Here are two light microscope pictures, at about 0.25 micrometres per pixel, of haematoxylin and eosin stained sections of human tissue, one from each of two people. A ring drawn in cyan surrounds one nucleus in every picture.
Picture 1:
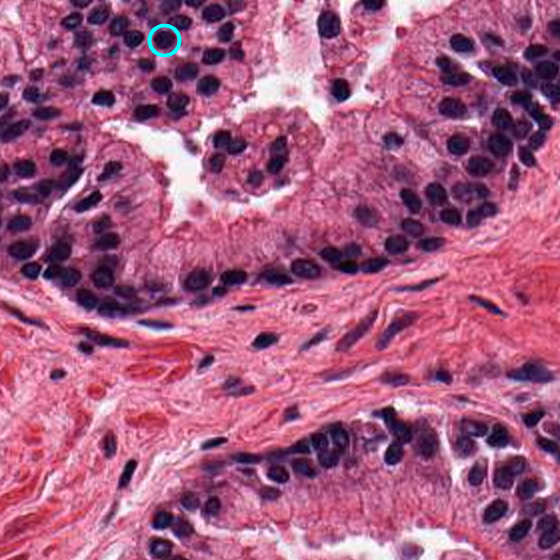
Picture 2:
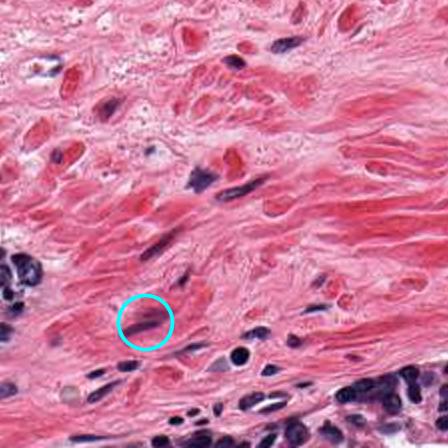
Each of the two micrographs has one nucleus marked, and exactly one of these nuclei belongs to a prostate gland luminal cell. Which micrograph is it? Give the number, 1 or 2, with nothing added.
1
